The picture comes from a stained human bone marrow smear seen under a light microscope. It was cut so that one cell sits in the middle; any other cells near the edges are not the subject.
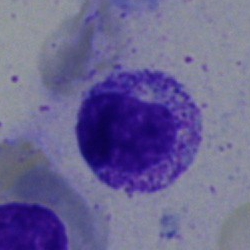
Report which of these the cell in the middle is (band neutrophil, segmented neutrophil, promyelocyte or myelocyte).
myelocyte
